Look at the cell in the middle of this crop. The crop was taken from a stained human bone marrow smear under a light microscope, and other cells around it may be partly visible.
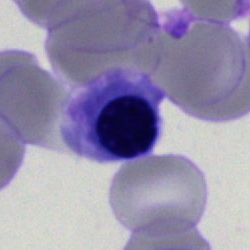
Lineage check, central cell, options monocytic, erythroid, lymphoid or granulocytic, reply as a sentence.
The erythroid lineage includes the cell at the center of the crop.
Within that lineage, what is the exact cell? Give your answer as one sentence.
The cell sitting right in the middle is an erythroblast.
